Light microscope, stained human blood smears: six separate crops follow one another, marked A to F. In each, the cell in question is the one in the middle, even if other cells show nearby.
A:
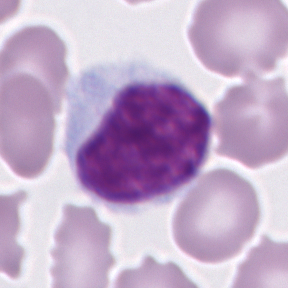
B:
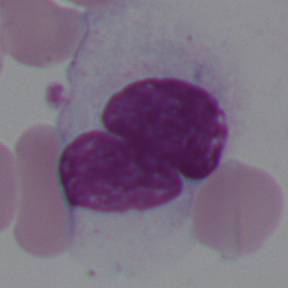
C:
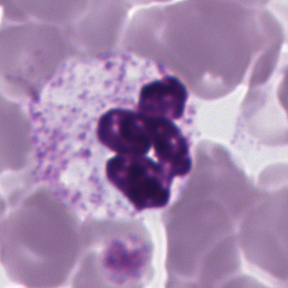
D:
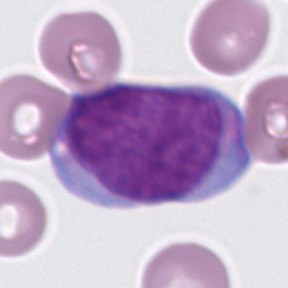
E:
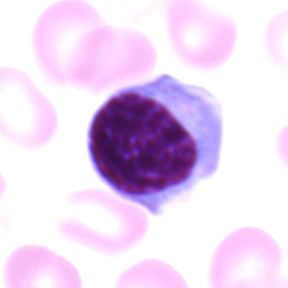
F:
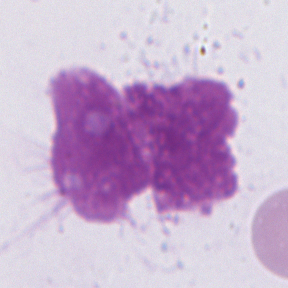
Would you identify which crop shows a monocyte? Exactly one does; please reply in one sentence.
Of the crops given, a monocyte is found in crop B.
